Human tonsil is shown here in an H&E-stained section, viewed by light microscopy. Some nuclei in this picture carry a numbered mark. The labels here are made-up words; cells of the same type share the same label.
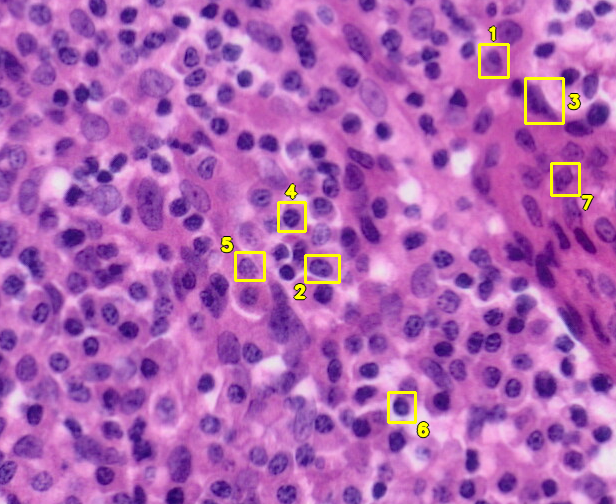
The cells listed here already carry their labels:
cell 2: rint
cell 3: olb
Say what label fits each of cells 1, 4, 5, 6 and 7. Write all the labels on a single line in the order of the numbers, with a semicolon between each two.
olb; rint; rint; rint; olb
